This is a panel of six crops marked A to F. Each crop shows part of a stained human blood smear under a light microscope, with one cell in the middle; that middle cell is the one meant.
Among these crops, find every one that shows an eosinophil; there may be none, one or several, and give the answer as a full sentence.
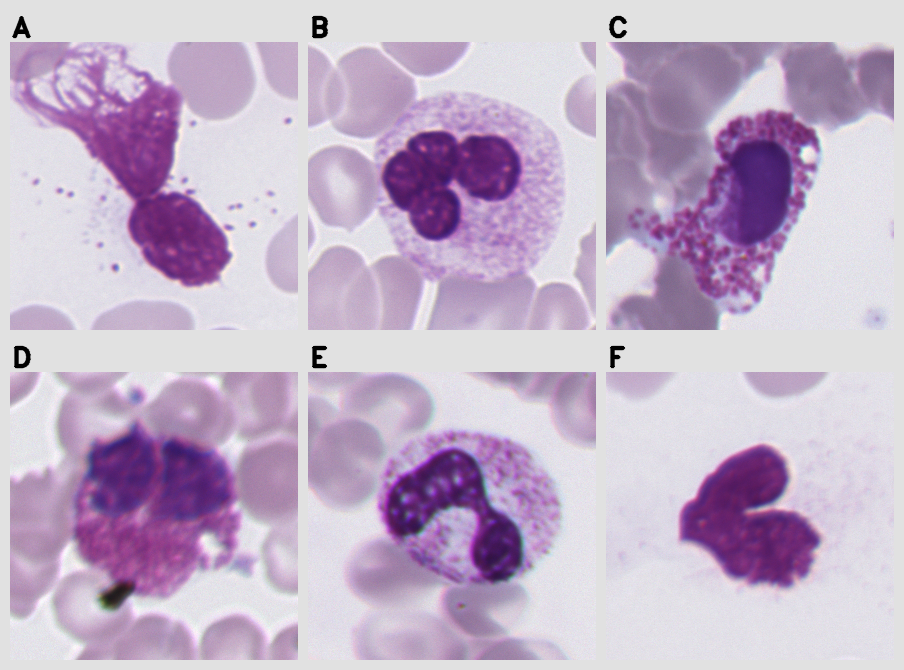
Crops C and D are the ones showing eosinophils.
